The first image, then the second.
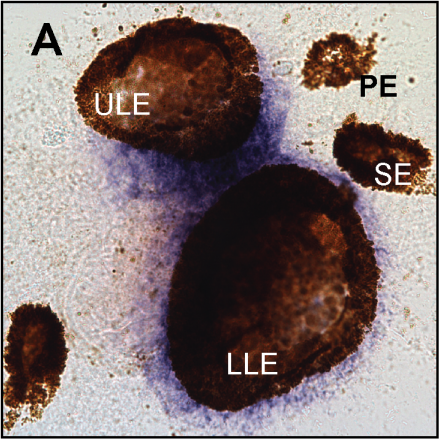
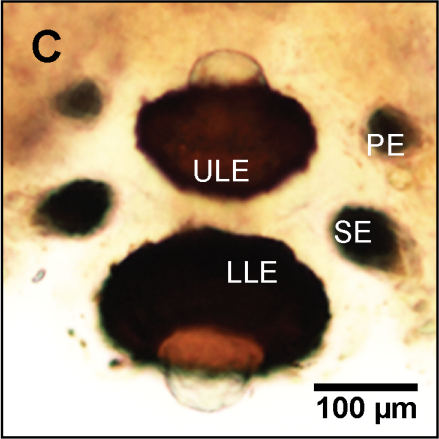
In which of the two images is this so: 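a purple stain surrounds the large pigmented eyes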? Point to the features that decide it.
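Second image: the pigmented eyes sit in pale tissue with no purple around them. First image: a purple halo surrounds both large pigmented eyes. That points to this answer: the first image.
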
